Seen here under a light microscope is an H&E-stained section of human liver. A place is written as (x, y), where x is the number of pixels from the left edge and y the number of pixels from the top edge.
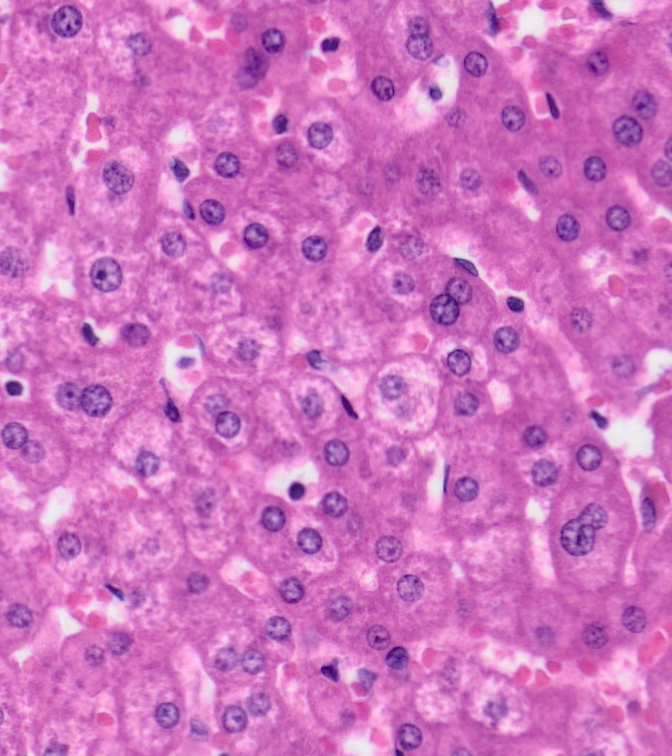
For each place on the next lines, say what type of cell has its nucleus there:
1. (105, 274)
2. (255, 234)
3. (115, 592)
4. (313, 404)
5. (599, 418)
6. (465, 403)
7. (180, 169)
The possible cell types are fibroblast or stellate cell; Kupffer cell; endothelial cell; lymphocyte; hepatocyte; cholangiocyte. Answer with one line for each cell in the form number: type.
1: hepatocyte
2: hepatocyte
3: endothelial cell
4: hepatocyte
5: lymphocyte
6: hepatocyte
7: endothelial cell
